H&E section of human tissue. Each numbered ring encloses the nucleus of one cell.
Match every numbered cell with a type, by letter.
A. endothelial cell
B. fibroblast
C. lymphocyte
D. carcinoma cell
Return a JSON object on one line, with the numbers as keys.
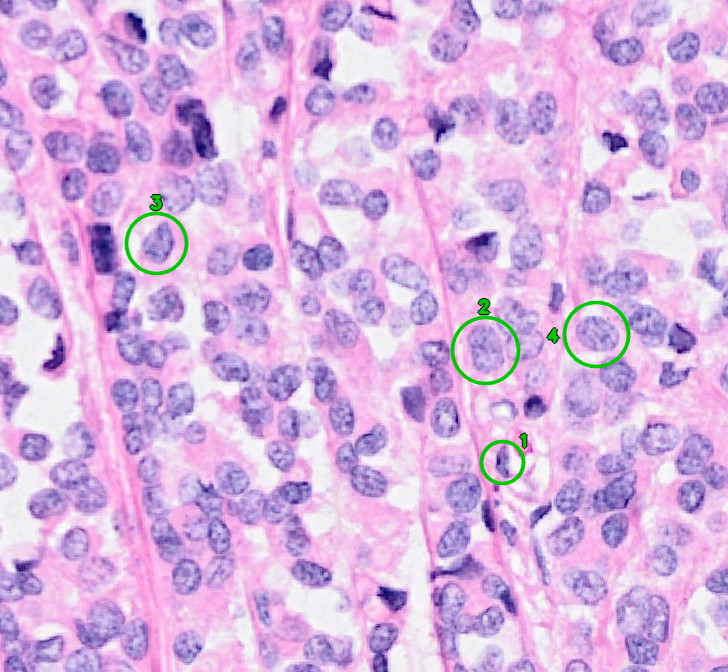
{"1": "A", "2": "D", "3": "D", "4": "D"}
